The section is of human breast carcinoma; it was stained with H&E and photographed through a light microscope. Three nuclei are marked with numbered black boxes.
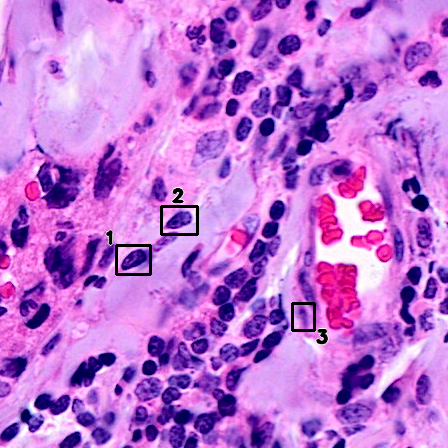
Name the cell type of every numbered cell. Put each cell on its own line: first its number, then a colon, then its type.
1: lymphocyte
2: lymphocyte
3: endothelial cell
